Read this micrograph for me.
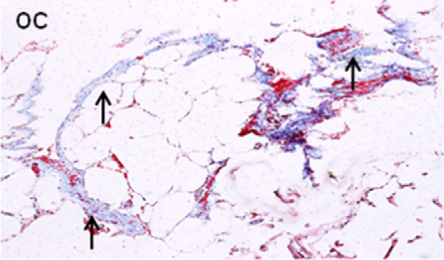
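This is adipose tissue in which large empty fat cells are separated by thin red-stained walls. Broad bands of blue-stained fibrous material run through the section, encircling groups of fat cells. In one area the blue bands are mixed with dense red-stained patches.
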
